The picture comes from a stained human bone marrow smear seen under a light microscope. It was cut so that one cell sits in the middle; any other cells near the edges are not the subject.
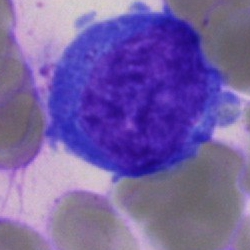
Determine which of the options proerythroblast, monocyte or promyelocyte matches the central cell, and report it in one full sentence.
By classification, the middle cell of this crop is a proerythroblast.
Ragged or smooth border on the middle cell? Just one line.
The cell membrane follows an uneven contour, either ragged or bearing projections.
